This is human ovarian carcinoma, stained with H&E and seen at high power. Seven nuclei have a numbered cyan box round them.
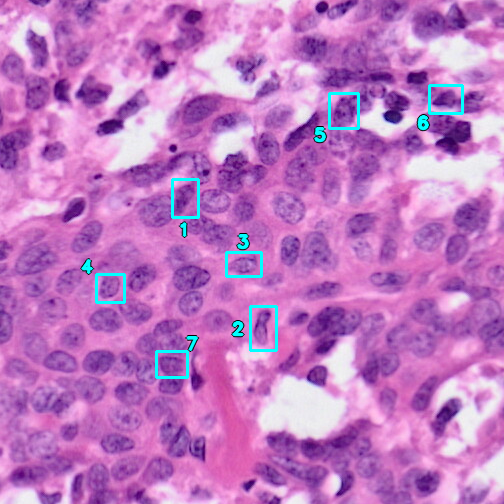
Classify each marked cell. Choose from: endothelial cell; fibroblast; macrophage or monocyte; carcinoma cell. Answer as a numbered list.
1. carcinoma cell
2. macrophage or monocyte
3. endothelial cell
4. macrophage or monocyte
5. macrophage or monocyte
6. carcinoma cell
7. carcinoma cell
